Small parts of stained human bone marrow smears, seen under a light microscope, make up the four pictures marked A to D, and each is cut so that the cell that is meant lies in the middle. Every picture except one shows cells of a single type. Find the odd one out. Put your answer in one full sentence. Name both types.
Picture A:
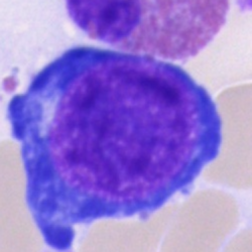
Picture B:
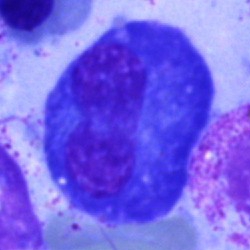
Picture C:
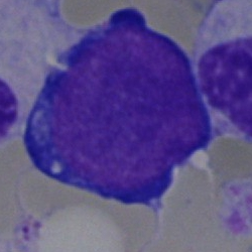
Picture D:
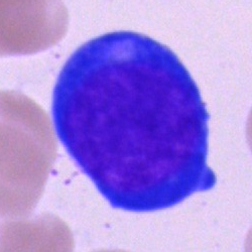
Picture B differs, because its cell is a plasma cell and the rest are proerythroblasts.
